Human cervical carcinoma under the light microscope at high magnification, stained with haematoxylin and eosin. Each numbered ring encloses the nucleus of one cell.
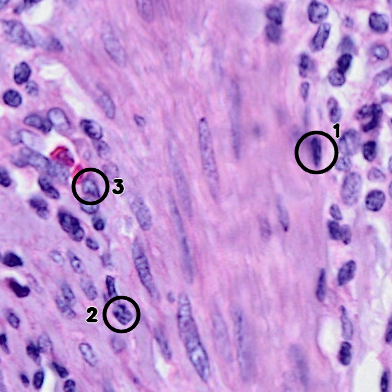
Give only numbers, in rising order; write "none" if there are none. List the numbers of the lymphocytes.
1, 2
